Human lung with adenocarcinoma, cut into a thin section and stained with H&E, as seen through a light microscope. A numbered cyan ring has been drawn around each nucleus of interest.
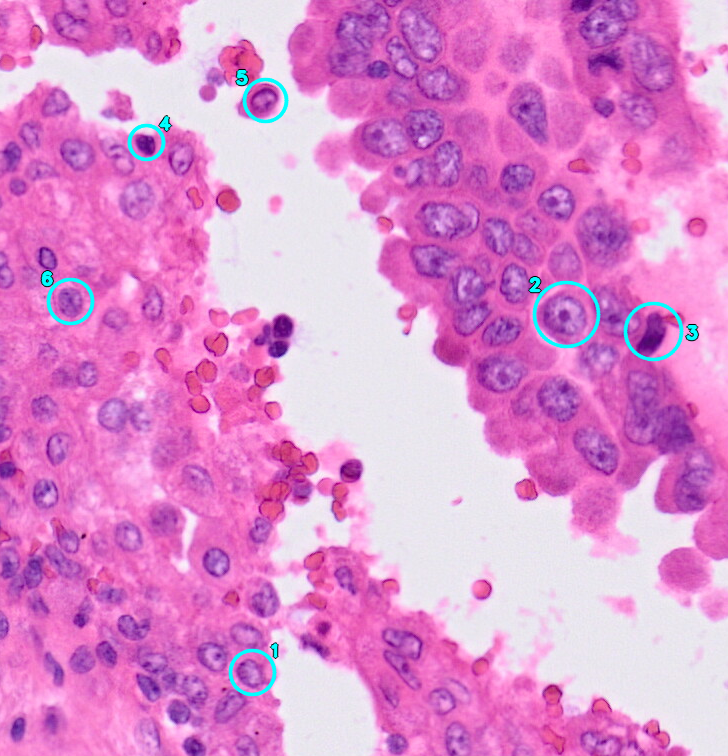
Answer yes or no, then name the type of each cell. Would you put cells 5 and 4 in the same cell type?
No, cell number 5 is a macrophage or monocyte, and cell number 4 is a lymphocyte.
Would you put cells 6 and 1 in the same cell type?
Yes, cells 6 and 1 are both classed as macrophages or monocytes.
